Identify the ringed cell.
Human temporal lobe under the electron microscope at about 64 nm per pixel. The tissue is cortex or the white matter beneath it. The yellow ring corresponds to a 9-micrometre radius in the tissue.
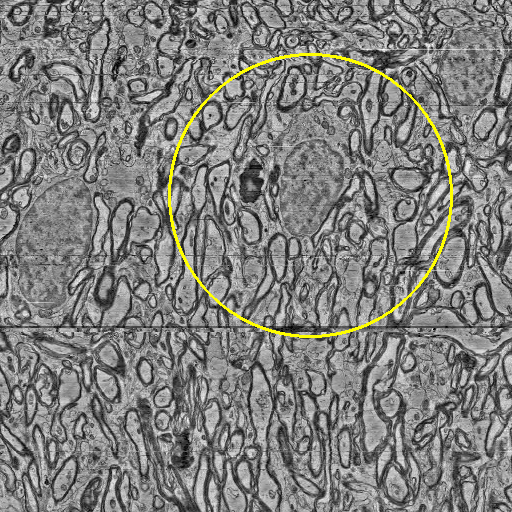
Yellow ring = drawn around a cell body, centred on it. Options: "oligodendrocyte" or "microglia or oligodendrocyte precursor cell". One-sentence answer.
What the ring is centred on is an oligodendrocyte.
